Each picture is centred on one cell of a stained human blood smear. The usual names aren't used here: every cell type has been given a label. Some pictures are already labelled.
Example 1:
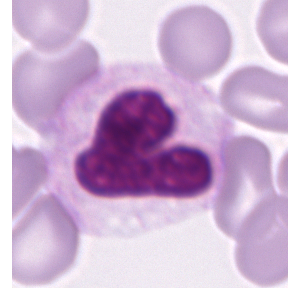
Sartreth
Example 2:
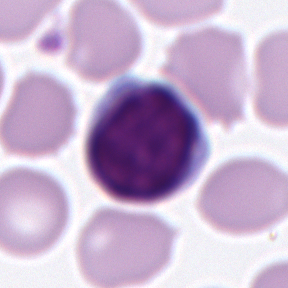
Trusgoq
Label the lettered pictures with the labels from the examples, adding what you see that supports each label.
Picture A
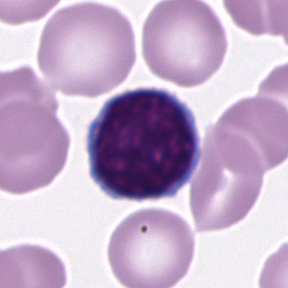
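Label: Trusgoq. The cytoplasm forms only a thin rim around the nucleus.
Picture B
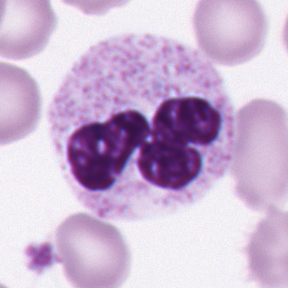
Label: Sartreth. The nucleus is divided into several separate lobes joined by narrow links.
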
